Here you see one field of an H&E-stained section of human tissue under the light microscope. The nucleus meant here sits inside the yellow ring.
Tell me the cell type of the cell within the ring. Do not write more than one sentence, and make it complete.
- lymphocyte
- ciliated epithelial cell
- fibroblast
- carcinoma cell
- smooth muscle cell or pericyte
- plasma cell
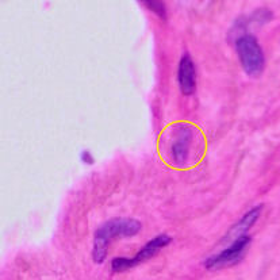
So far as cell type goes, the cell within the ring is a smooth muscle cell or pericyte.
